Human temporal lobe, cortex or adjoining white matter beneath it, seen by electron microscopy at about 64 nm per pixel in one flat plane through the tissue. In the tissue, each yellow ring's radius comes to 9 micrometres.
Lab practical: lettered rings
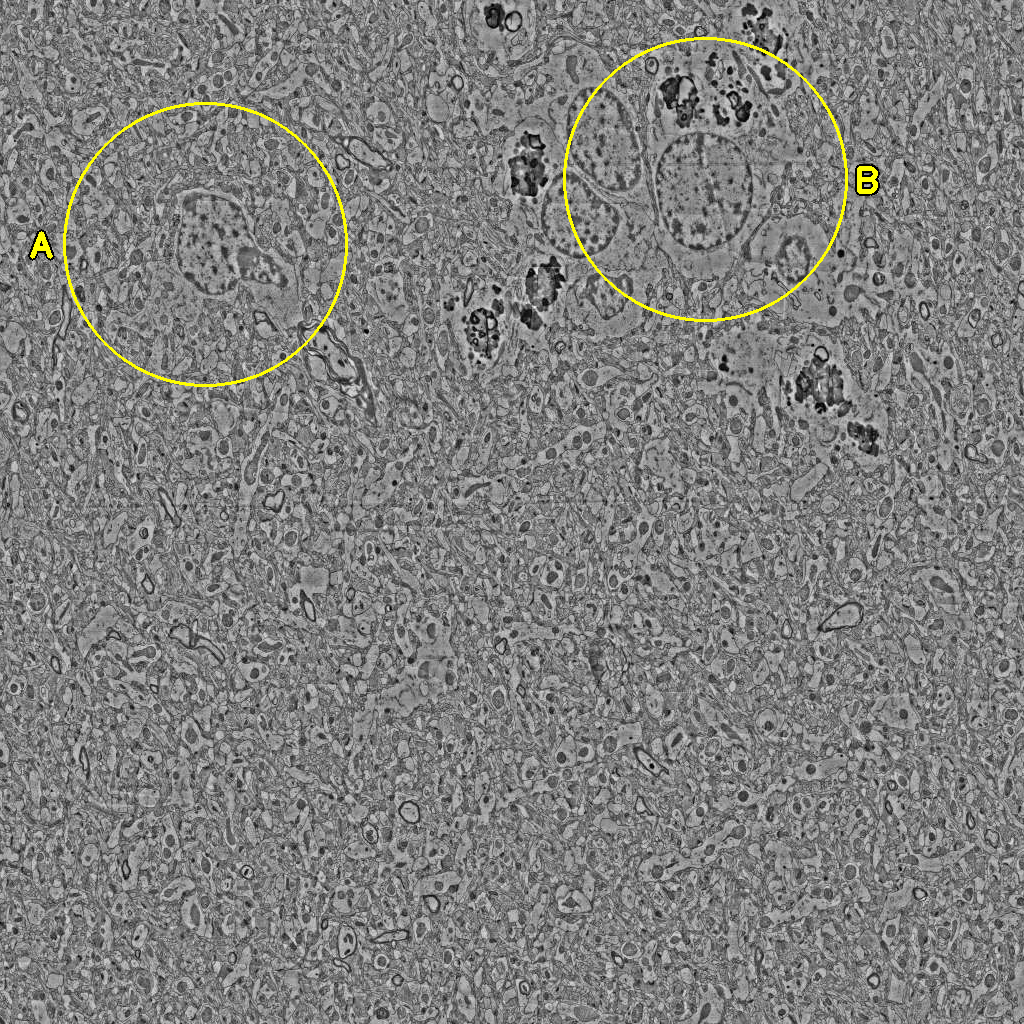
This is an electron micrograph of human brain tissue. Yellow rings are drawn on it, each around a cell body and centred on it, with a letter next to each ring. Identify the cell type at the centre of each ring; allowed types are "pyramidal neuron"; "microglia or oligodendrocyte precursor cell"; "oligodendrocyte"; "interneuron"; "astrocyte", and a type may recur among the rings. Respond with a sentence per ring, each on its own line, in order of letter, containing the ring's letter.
Lying at the centre of ring A is a microglial cell or oligodendrocyte precursor cell.
Lying at the centre of ring B is an astrocyte.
